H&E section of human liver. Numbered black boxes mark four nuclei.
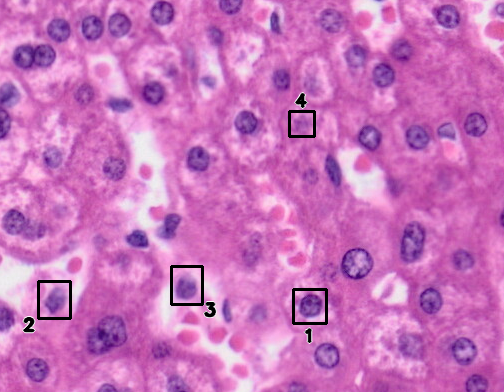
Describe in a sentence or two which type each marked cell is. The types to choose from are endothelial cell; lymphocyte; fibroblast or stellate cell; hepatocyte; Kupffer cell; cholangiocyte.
Cell 1 is a hepatocyte, cell 2 is a Kupffer cell, cell 3 is a Kupffer cell and cell 4 is a hepatocyte.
